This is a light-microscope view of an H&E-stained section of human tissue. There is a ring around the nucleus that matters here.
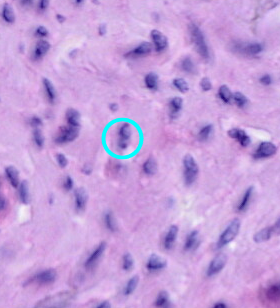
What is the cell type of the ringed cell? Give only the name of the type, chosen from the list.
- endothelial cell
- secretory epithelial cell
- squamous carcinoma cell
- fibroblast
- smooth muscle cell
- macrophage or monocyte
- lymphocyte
fibroblast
